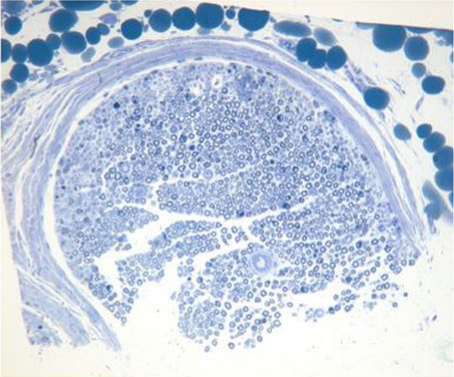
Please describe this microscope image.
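A bundle of myelinated axons is seen in cross-section, its ring-shaped blue axon profiles loosely scattered rather than densely packed. Large empty gaps separate groups of axons, and a wide space runs through the lower part of the bundle, which has drawn away from its layered sheath. Outside the sheath at the top lie many round, dark blue bodies.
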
